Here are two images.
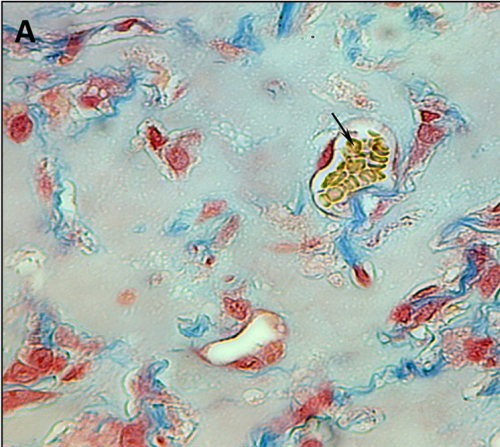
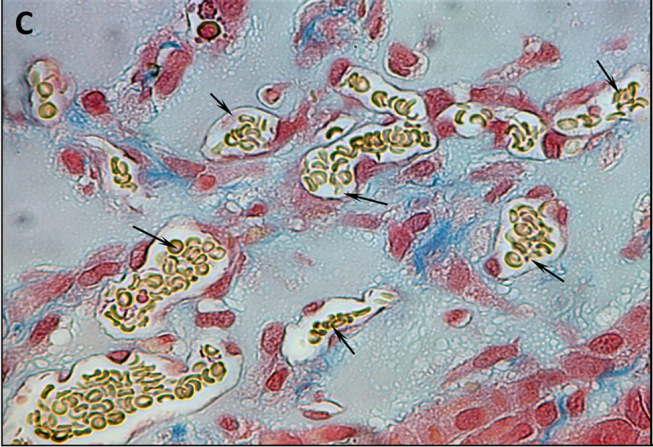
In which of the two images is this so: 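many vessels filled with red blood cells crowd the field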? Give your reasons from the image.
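Second image: numerous lumens packed with small round blood cells lie side by side across the field. First image: only one lumen containing blood cells is clearly seen amid loose matrix and scattered cells.
Hence: the second image.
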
